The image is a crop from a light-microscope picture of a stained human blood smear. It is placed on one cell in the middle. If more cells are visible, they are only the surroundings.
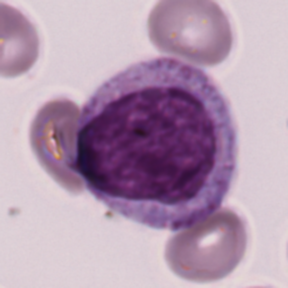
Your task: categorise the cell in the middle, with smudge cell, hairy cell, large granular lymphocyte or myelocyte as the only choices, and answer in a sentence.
The centered cell in this crop is a myelocyte.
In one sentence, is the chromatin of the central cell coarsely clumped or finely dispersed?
Coarse clumps are absent, and the chromatin is fine throughout.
